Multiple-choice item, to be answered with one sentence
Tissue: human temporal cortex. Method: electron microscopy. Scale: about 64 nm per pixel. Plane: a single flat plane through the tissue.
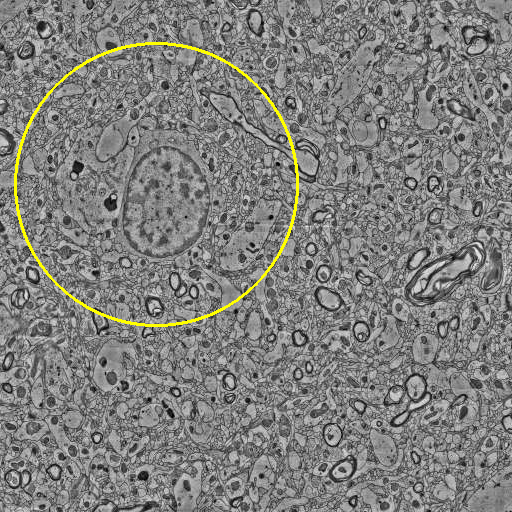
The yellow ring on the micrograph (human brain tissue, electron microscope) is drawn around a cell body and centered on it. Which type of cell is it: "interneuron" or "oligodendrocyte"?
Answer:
The ring is centered on an oligodendrocyte.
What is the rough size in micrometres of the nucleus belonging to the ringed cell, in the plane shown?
The nucleus is approximately 7 micrometers long by 5 micrometers wide in this plane.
